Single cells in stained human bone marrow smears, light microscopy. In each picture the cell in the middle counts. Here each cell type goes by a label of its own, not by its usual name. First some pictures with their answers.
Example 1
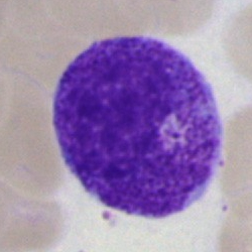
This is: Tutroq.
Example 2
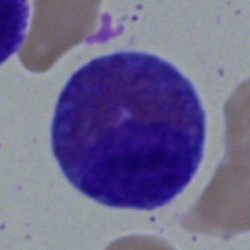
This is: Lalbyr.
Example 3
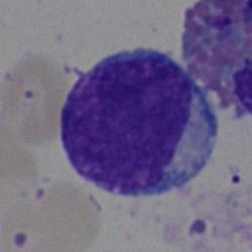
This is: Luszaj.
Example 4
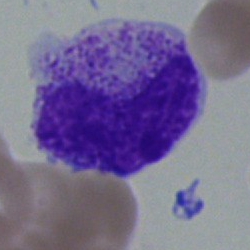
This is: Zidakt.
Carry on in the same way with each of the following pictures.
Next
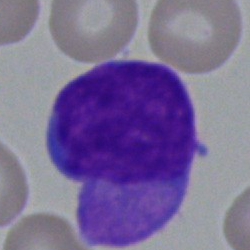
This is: Luszaj.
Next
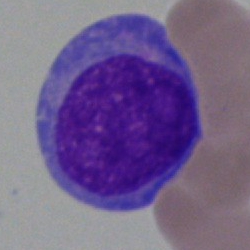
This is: Luszaj.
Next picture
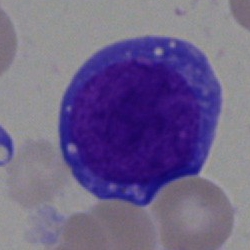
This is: Luszaj.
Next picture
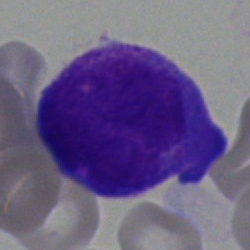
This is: Luszaj.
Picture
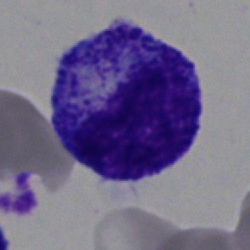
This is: Tutroq.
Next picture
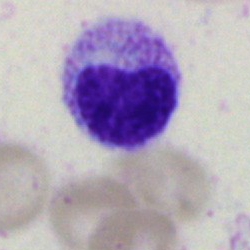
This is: Zidakt.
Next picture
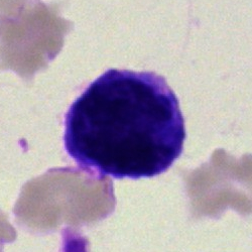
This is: Luszaj.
